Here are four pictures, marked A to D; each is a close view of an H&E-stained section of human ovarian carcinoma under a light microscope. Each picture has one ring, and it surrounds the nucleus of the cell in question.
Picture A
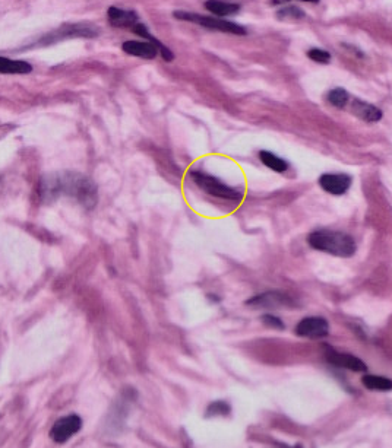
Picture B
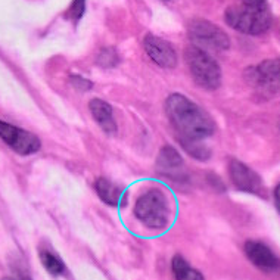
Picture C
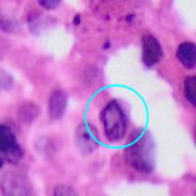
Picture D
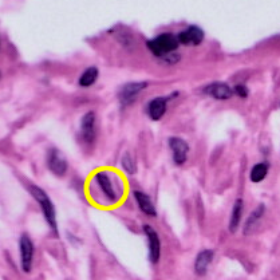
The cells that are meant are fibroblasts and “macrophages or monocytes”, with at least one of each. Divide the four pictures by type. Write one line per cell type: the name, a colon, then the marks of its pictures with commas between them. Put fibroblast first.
fibroblast: A, D
macrophage or monocyte: B, C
